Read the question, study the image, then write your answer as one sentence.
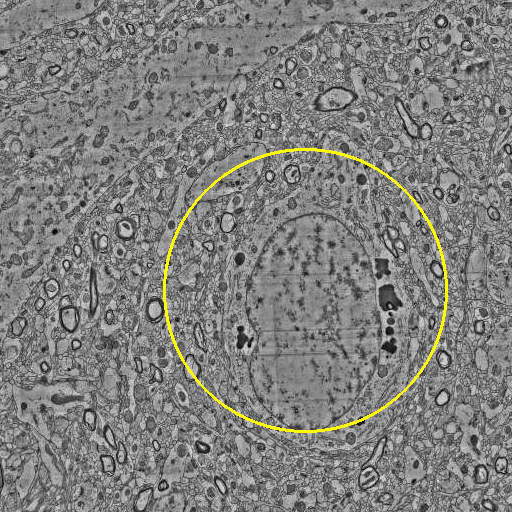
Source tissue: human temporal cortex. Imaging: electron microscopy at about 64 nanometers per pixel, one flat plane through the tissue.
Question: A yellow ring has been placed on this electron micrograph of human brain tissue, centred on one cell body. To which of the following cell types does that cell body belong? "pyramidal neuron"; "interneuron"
That cell body belongs to an interneuron.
